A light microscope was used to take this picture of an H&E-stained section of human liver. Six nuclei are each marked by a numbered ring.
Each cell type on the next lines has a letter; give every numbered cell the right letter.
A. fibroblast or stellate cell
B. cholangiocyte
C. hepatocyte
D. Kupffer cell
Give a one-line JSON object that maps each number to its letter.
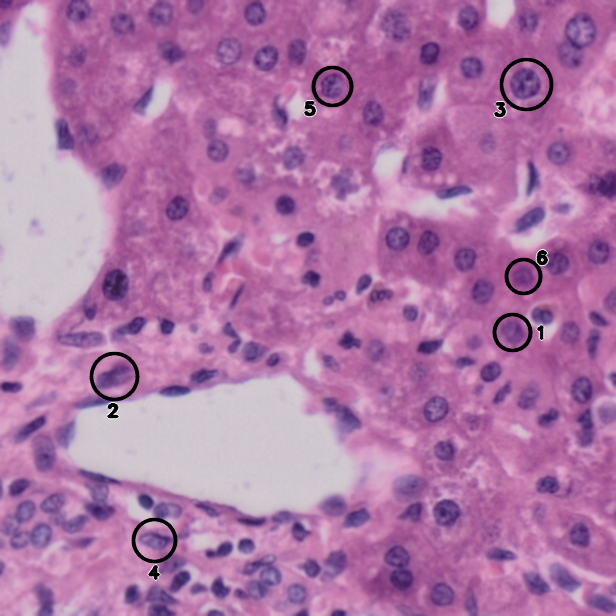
{"1": "C", "2": "A", "3": "C", "4": "A", "5": "C", "6": "C"}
